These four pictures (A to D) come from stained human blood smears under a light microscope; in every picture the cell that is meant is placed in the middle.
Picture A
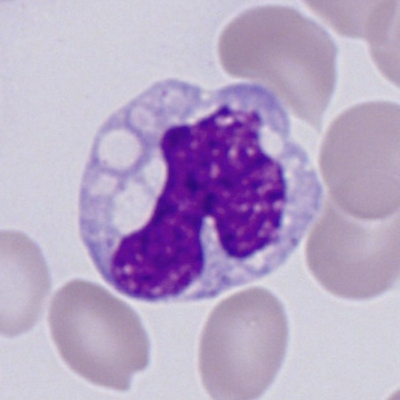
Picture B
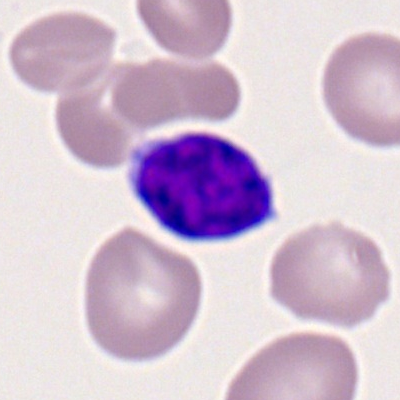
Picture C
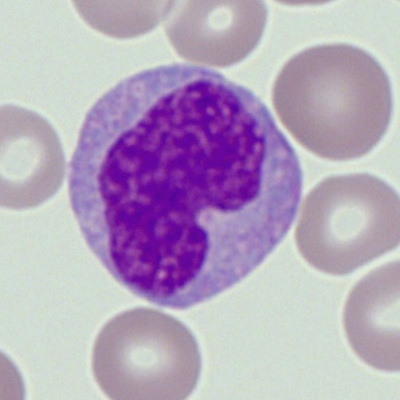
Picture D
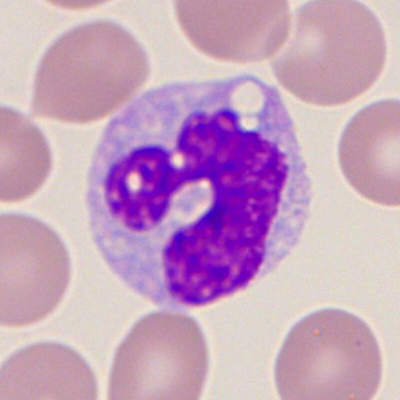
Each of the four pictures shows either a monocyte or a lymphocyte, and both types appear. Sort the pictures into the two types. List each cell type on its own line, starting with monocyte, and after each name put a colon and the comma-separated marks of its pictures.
monocyte: A, C, D
lymphocyte: B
